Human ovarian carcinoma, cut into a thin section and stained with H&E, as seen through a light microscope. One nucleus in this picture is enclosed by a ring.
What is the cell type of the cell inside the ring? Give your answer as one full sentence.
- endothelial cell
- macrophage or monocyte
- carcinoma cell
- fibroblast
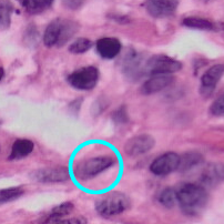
By its classification, the cell inside the ring is an endothelial cell.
